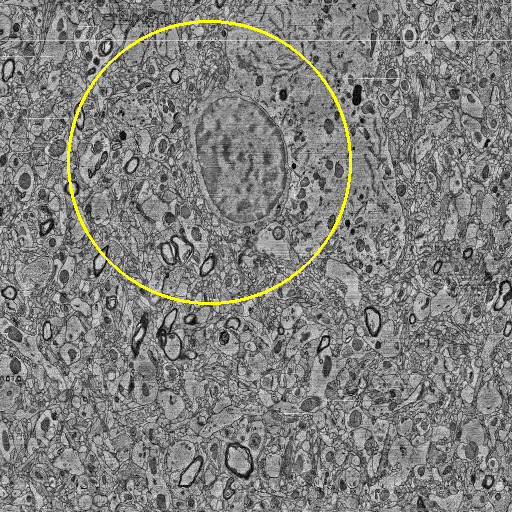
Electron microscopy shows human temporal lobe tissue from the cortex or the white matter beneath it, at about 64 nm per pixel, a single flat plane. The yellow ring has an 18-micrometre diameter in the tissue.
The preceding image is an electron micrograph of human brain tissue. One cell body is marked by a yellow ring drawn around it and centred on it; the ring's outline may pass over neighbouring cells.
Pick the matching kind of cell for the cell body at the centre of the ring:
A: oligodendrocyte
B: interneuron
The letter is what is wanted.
A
